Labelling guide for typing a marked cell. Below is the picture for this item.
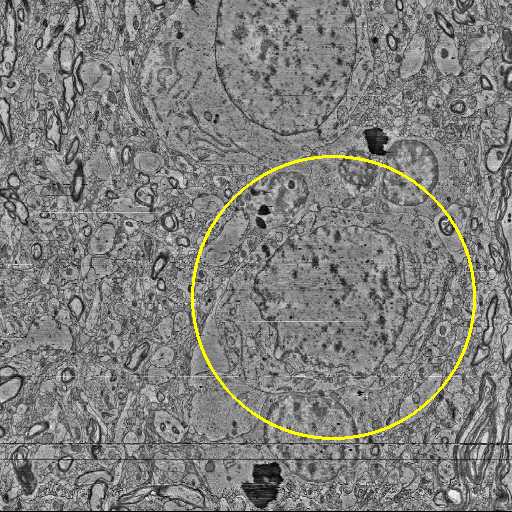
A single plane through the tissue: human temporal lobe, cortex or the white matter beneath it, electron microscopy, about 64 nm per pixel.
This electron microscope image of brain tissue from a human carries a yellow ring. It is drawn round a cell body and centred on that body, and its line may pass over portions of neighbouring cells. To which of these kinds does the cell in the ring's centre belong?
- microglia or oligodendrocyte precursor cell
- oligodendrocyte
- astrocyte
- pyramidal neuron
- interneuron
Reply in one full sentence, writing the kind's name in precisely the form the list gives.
Here we have an interneuron at the centre of the yellow ring in the picture.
